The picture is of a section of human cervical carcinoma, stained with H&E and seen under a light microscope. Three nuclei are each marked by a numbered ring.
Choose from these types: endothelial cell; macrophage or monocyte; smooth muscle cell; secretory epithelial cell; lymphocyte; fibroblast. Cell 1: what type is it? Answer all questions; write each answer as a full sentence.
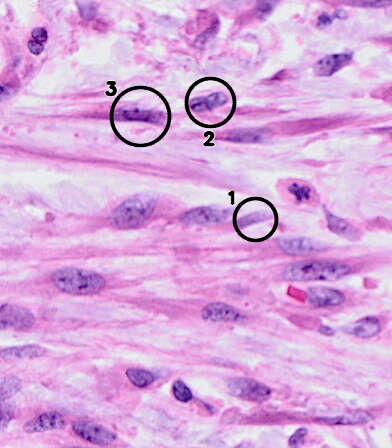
Cell 1 in the field of view is a fibroblast.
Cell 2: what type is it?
Cell number 2 in this section is a macrophage or monocyte.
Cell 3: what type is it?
Here, the cell given the number 3 is a fibroblast.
